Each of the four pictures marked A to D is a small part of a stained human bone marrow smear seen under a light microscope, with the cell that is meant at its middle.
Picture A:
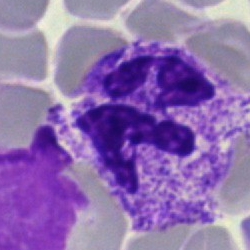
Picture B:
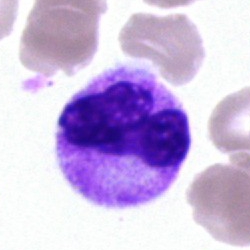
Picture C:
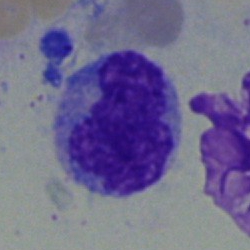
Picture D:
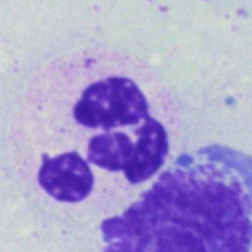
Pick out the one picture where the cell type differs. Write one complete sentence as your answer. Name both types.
The others show segmented neutrophils, but picture C shows a monocyte.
